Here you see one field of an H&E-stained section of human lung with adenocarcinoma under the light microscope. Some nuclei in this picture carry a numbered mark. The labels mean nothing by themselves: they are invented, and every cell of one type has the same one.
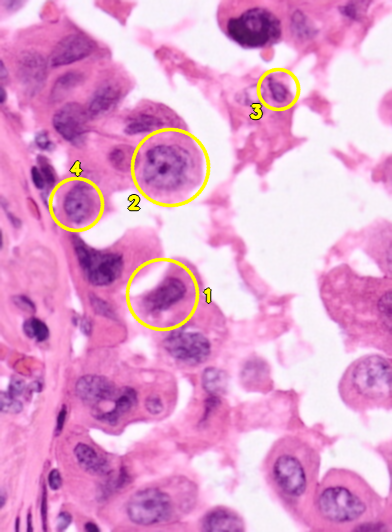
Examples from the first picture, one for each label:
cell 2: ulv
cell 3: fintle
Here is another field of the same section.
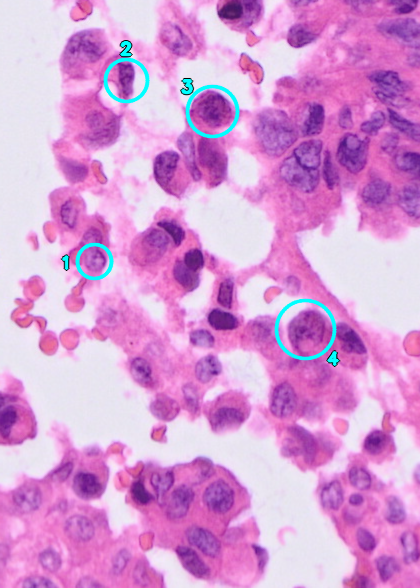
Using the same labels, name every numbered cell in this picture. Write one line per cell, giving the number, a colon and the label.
1: fintle
2: ulv
3: ulv
4: ulv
